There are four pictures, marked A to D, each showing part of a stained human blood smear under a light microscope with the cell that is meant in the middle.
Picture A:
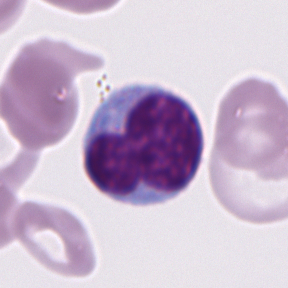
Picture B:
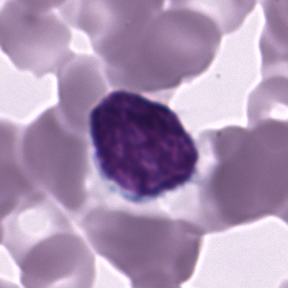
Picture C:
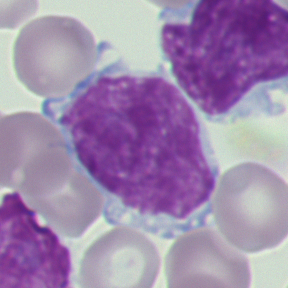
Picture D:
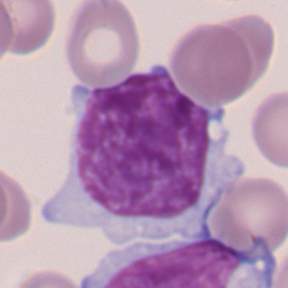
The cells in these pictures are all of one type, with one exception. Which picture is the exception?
D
